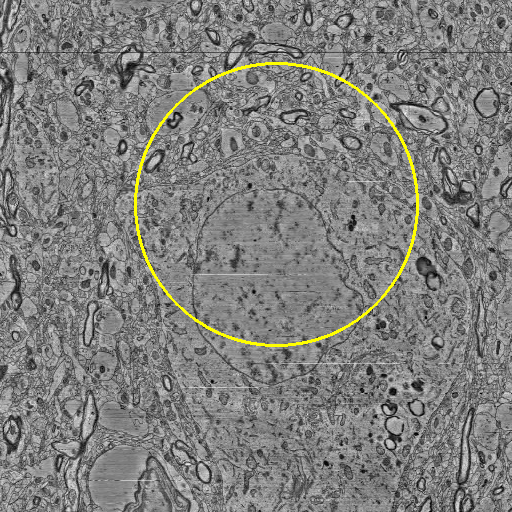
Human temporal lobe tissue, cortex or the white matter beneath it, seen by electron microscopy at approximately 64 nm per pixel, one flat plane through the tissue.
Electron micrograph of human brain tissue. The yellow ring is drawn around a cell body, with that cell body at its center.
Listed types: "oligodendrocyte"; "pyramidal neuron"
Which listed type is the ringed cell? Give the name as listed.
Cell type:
pyramidal neuron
